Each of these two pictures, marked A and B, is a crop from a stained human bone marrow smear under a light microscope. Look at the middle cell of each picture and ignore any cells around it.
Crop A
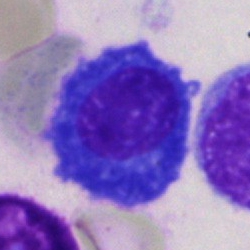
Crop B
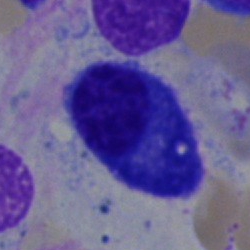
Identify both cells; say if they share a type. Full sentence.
Yes, the cells at the centres of the two crops are plasma cells.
